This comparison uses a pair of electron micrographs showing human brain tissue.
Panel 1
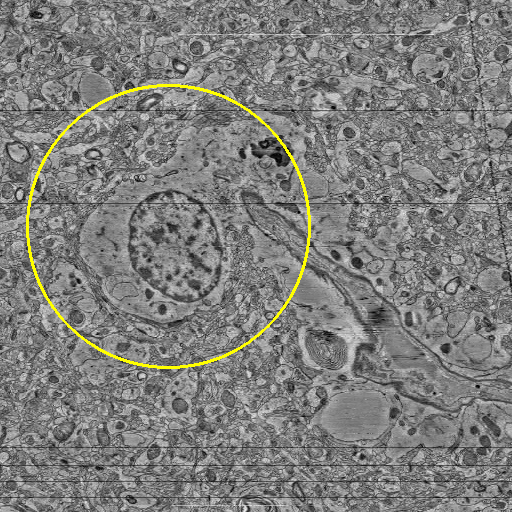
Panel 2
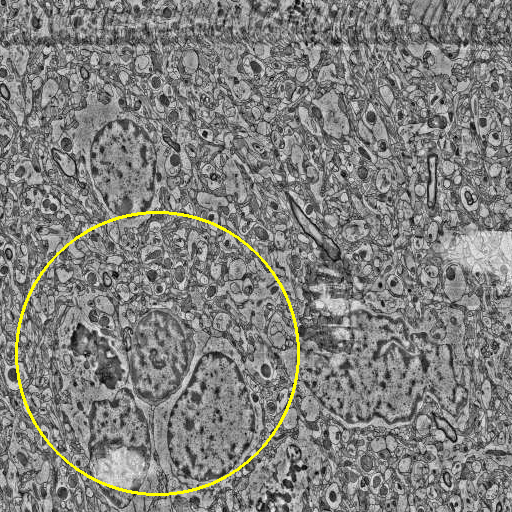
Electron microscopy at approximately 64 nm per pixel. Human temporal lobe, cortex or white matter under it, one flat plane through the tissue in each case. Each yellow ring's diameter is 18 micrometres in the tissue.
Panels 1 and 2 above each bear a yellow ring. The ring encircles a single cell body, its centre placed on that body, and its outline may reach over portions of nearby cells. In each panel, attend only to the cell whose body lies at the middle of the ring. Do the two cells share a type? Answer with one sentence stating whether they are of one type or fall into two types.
In Panel 1 and Panel 2, the cells at the centres of the rings fall into two types.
